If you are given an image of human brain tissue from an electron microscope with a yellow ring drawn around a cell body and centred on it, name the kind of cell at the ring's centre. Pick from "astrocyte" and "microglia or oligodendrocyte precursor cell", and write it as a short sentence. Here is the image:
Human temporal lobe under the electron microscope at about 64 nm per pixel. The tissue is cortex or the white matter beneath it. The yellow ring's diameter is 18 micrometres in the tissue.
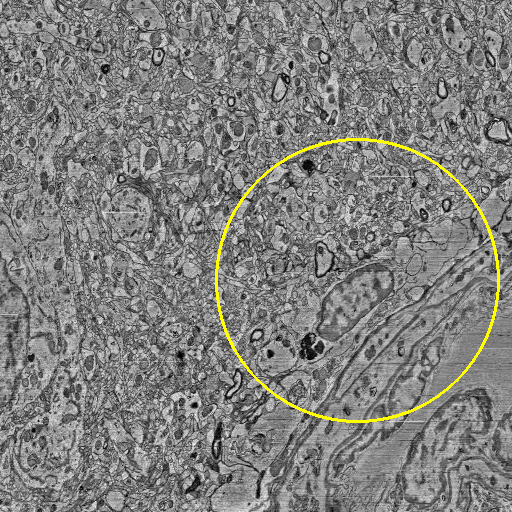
The cell at the ring's centre is a microglial cell or oligodendrocyte precursor cell.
